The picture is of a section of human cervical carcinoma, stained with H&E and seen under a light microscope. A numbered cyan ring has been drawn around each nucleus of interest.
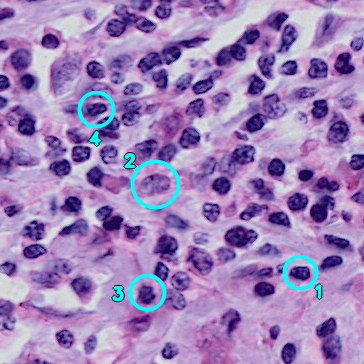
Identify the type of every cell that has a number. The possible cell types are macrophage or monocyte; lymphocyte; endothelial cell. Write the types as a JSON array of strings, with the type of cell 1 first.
["lymphocyte", "macrophage or monocyte", "lymphocyte", "lymphocyte"]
